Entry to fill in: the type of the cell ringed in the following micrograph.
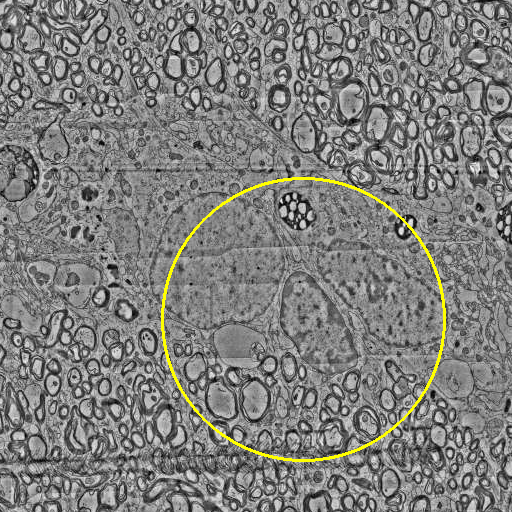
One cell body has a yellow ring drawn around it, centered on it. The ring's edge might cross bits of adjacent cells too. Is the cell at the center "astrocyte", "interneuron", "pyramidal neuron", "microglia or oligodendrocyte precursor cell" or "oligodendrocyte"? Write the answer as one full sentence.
This entry names a microglial cell or oligodendrocyte precursor cell as the cell whose body lies at the ring's center.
